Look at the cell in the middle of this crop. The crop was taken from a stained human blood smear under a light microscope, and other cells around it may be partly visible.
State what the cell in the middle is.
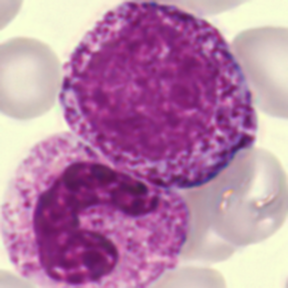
promyelocyte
